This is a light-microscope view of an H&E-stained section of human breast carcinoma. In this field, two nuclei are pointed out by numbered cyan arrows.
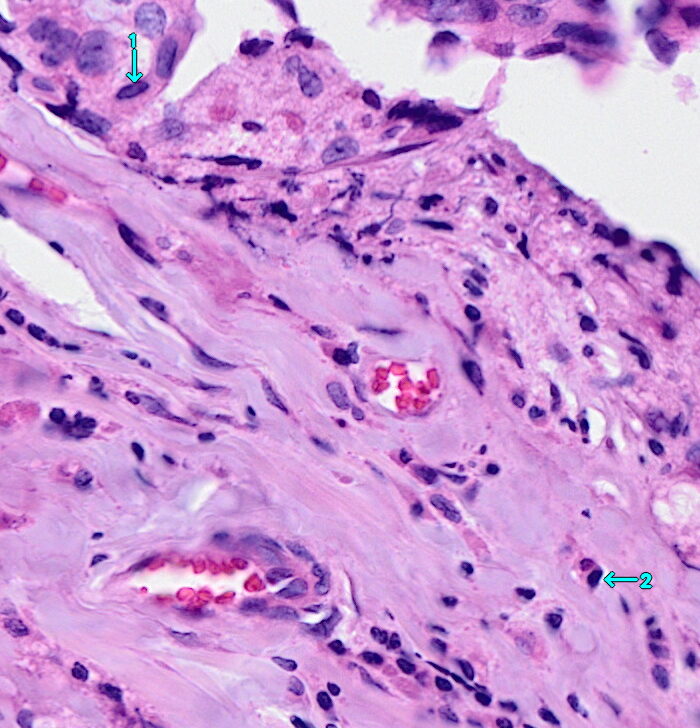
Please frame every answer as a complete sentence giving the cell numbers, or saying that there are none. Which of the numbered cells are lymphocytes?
The numbered cells include exactly one that is a lymphocyte, which is cell 2.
